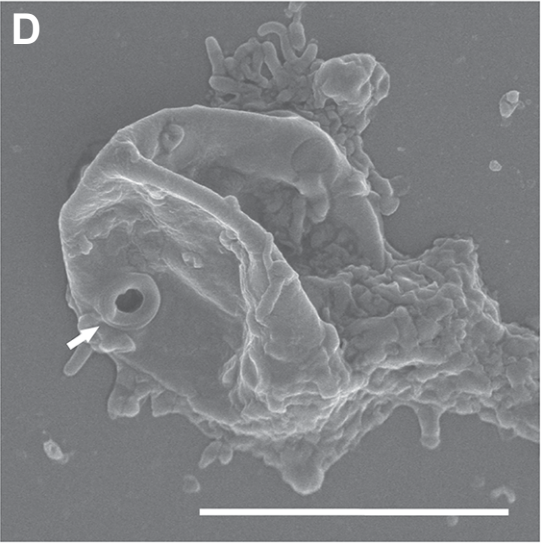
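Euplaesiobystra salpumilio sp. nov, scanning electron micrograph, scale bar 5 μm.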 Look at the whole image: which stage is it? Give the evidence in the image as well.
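The rounded wall is collapsed and folded in on itself like an empty shell. No plump rounded body fills the wall. On this evidence: Empty cysts.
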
